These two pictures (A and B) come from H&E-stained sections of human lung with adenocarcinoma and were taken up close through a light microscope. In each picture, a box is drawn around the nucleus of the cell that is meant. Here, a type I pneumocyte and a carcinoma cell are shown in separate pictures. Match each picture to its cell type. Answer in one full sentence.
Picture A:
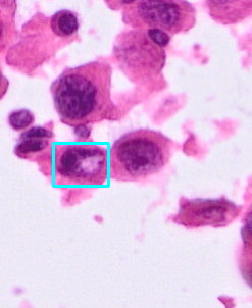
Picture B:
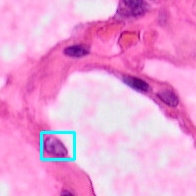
In picture A the cell is a carcinoma cell; in picture B, a type I pneumocyte.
